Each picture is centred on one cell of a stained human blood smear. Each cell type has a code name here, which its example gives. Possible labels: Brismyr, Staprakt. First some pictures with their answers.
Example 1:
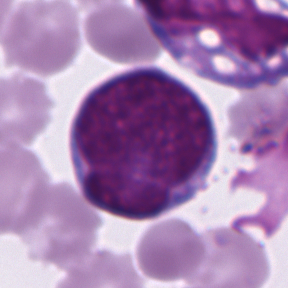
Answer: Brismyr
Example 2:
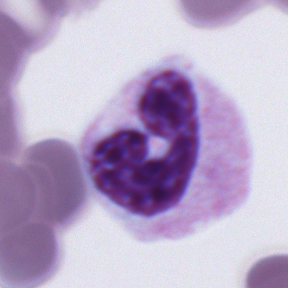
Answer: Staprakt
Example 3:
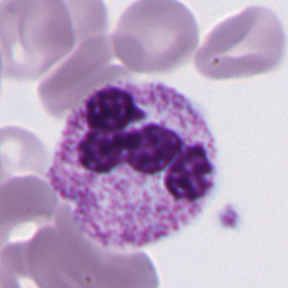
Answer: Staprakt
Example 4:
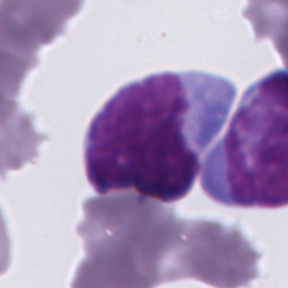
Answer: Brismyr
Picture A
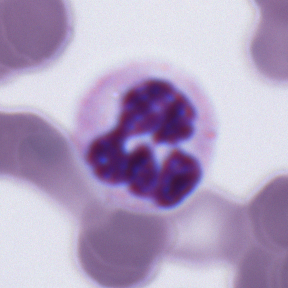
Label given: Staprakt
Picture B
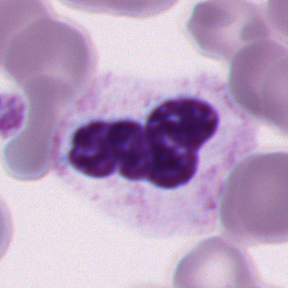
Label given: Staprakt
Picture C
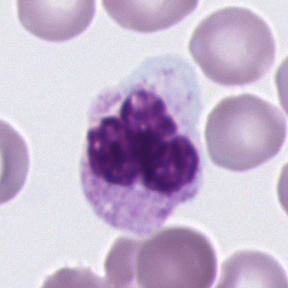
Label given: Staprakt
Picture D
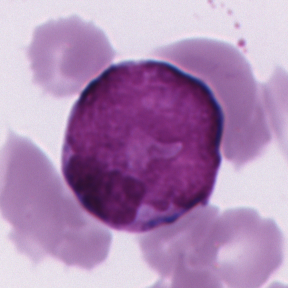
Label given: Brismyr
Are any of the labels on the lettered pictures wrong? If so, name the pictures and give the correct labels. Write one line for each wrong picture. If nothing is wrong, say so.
All labels are correct.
